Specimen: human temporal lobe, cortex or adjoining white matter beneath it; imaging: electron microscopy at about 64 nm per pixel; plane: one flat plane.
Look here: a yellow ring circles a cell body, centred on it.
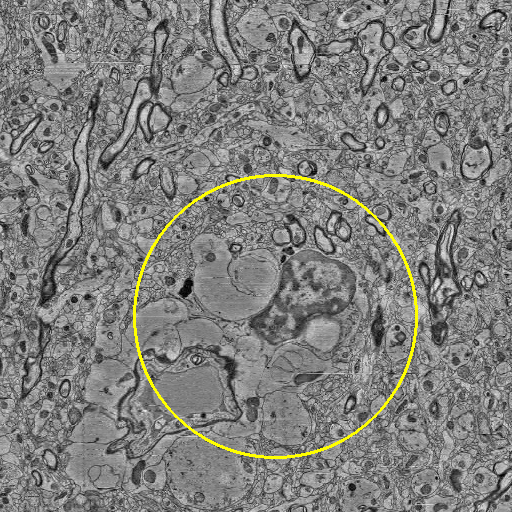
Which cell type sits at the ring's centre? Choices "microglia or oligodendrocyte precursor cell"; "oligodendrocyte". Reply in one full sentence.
The cell at the centre of the yellow ring in the picture is a microglial cell or oligodendrocyte precursor cell.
